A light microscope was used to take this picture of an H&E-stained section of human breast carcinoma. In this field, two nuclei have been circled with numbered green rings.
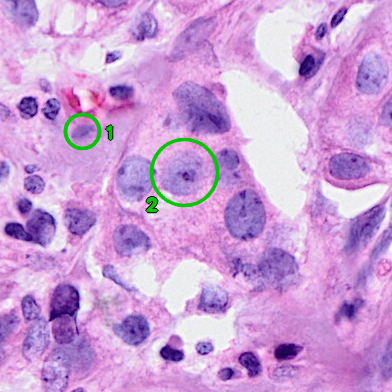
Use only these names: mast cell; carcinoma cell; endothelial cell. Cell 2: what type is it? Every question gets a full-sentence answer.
Marked with the number 2, this cell is a carcinoma cell.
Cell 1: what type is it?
The nucleus marked 1 is the nucleus of an endothelial cell.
